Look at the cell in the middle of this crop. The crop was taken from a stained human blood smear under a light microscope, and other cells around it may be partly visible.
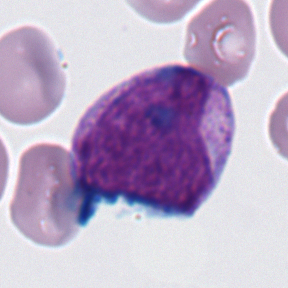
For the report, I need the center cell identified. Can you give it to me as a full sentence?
The cell of interest, in the center, is an atypical promyelocyte.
